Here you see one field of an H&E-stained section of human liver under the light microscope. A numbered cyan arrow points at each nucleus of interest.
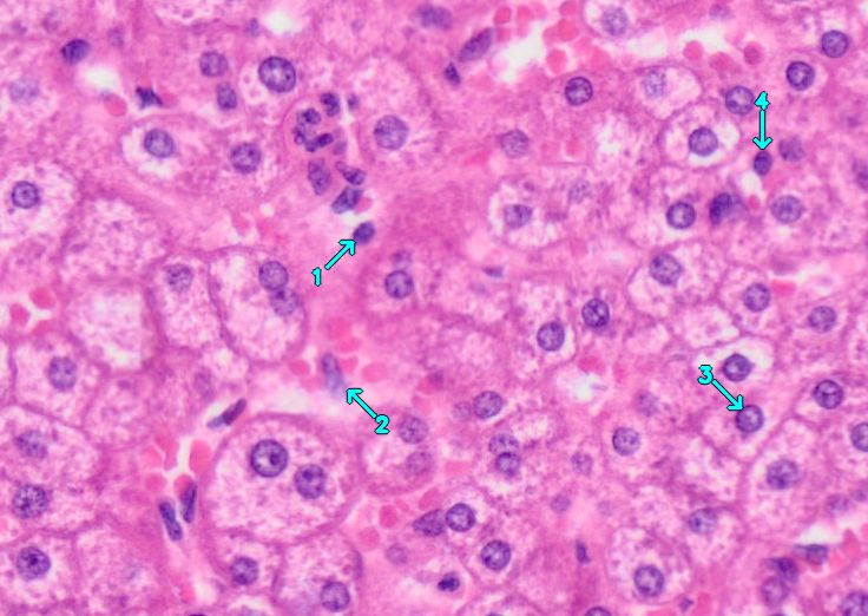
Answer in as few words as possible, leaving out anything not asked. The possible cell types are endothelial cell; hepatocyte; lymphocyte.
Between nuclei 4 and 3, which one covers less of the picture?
4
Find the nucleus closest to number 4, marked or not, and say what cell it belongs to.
endothelial cell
